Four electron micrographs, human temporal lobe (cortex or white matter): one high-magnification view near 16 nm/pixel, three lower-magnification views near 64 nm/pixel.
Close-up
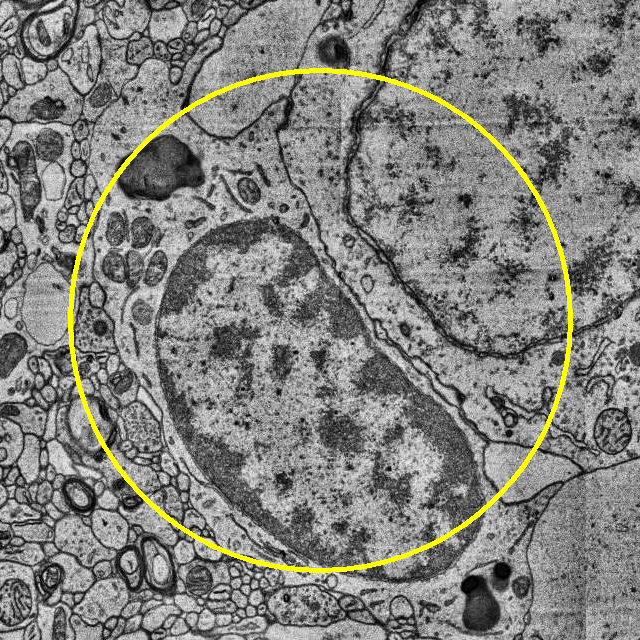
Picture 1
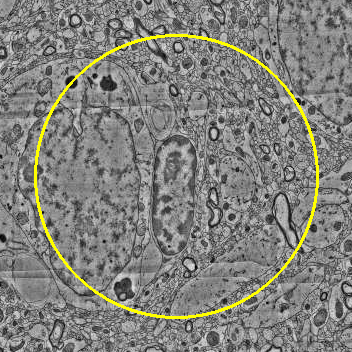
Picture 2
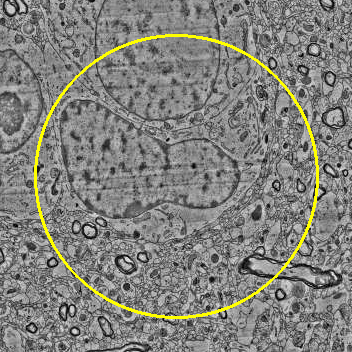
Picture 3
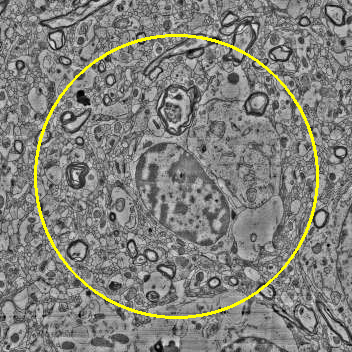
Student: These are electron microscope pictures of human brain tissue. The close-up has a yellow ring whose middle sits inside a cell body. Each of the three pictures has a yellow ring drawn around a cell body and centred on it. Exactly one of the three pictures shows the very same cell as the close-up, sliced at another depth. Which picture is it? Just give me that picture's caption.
Picture 3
